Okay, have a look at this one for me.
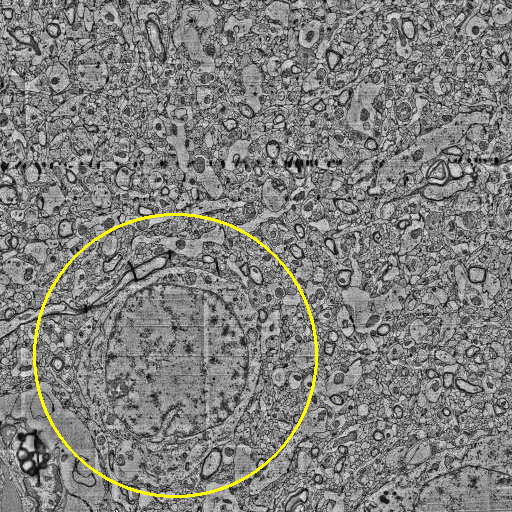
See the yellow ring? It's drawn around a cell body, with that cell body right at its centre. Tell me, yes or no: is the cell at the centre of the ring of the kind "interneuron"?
Yes, it is of that kind.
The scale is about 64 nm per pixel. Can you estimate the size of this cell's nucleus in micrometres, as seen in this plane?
Roughly 10 micrometres across for the nucleus, in this plane.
